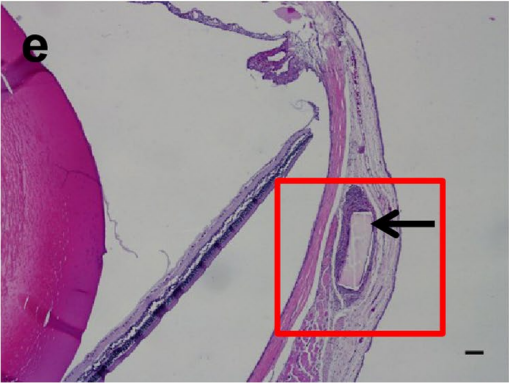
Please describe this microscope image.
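This low-power stained section of an eye shows the outer wall with an implant lying within it, surrounded by inflammatory cells. At the left edge is a large, uniform pink curved mass. A thin, layered, dark purple sheet runs diagonally beside it. On the right, a curved wall of layered tissue carries, in its lower part, a pale elongated block ringed by a dense purple collar of cells, enclosed by a red box. Folded thin tissue projects from the top of the wall.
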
